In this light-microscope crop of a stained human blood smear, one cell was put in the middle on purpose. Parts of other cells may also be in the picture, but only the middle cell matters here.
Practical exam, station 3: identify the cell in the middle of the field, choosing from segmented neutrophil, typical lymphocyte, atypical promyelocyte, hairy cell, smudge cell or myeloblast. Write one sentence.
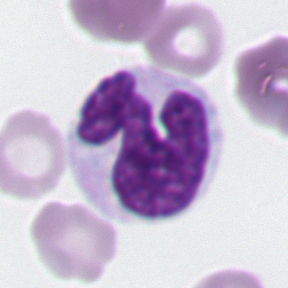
In the middle of this smear crop, the cell is a segmented neutrophil.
